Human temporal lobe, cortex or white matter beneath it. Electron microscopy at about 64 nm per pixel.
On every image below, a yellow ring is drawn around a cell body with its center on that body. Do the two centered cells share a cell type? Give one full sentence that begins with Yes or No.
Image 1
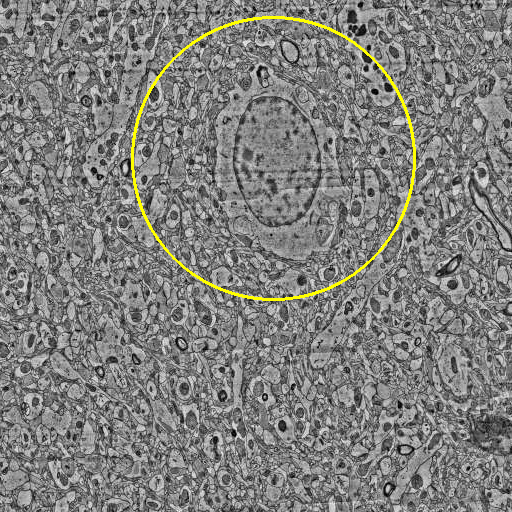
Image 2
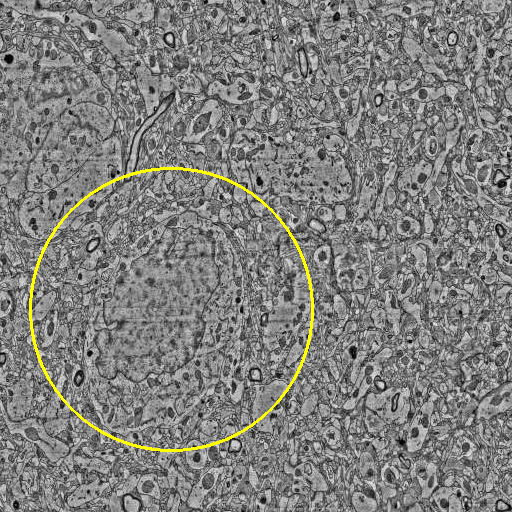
No, the centered cells in the two images are of two separate cell types.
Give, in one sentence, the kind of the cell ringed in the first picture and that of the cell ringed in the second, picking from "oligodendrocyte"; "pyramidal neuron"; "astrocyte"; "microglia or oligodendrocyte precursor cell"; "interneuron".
For the first picture it is an astrocyte; for the second, an interneuron.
